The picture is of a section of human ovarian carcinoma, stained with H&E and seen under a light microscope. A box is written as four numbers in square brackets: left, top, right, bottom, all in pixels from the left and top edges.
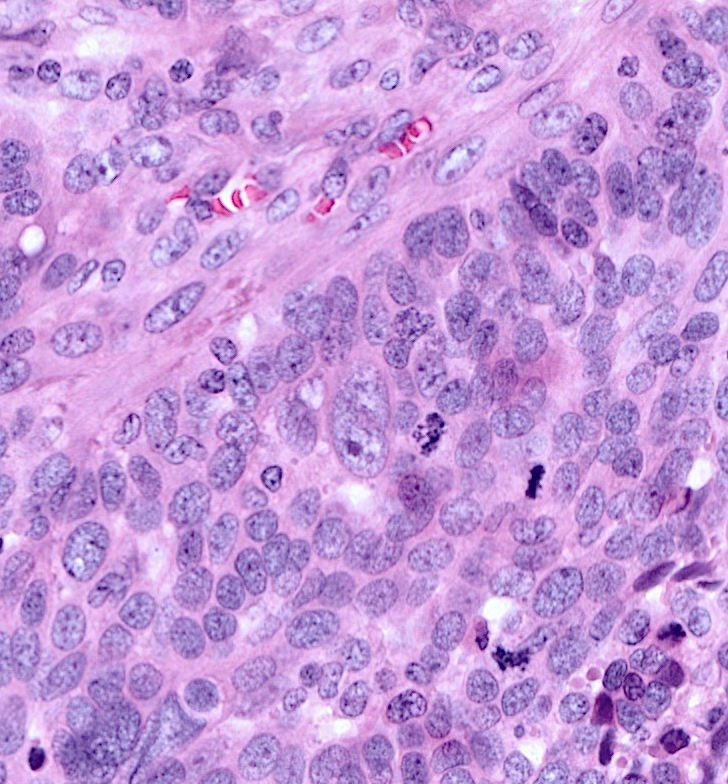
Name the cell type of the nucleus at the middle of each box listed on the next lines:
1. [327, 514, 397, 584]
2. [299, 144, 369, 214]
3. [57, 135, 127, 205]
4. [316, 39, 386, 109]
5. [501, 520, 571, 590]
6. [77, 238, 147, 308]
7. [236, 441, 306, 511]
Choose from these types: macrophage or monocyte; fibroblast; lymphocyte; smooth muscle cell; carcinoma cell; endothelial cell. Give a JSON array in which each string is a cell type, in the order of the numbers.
["carcinoma cell", "endothelial cell", "fibroblast", "fibroblast", "carcinoma cell", "macrophage or monocyte", "macrophage or monocyte"]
